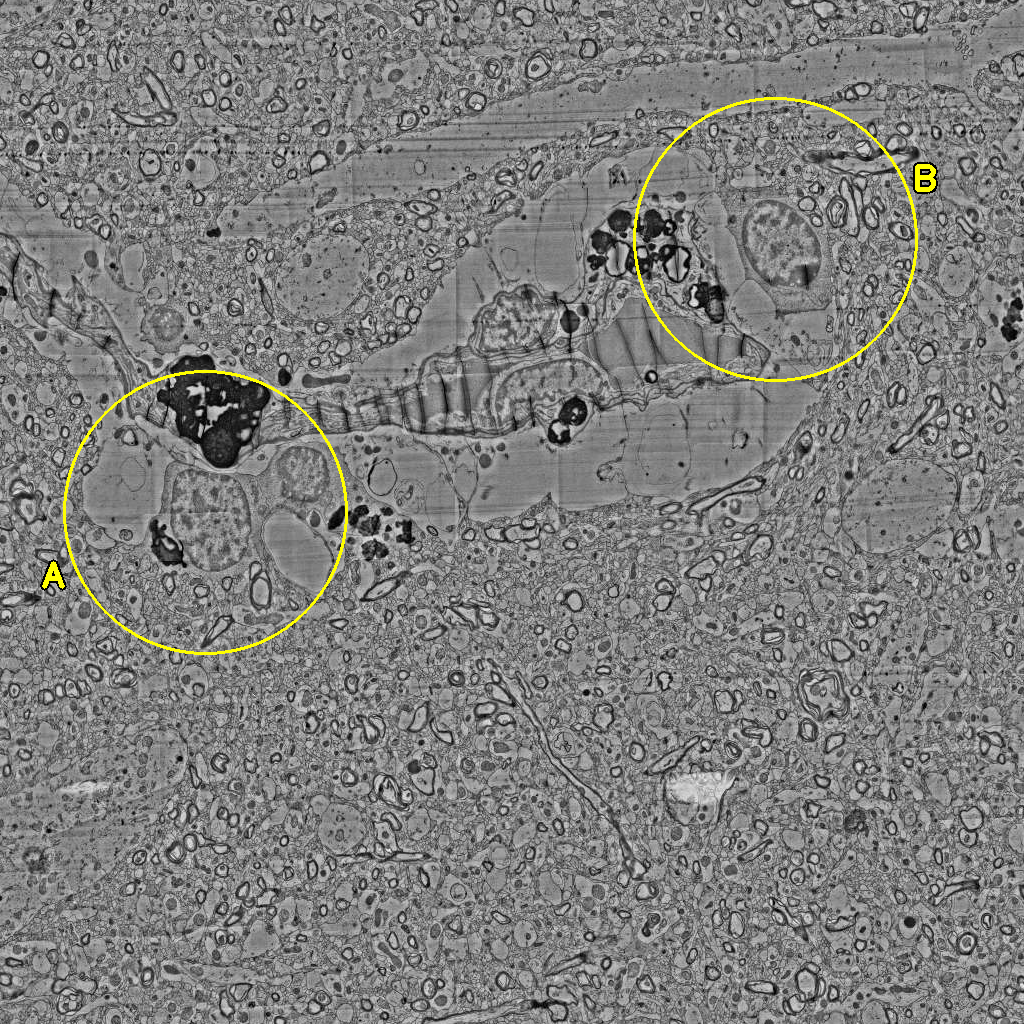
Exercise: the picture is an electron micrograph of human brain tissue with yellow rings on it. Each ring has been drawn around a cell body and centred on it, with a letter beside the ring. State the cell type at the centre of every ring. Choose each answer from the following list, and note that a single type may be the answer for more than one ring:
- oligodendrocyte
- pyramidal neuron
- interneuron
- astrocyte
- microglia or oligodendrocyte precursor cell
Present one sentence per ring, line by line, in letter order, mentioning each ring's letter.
Ring A shows an oligodendrocyte at its centre.
Ring B shows an oligodendrocyte at its centre.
